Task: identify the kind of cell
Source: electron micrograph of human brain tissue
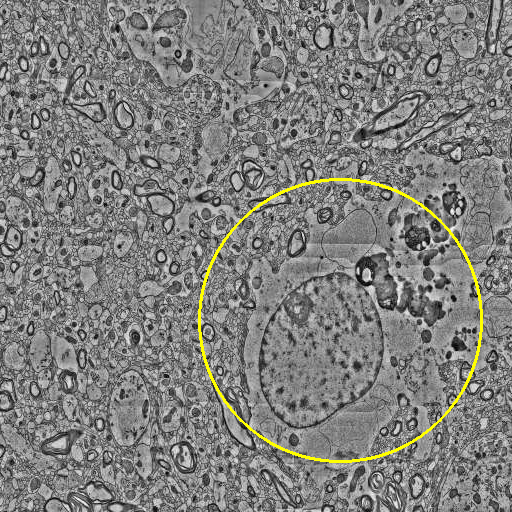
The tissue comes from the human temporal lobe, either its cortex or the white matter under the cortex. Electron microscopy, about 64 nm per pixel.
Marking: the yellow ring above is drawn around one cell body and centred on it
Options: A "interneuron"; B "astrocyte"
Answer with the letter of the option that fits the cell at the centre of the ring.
B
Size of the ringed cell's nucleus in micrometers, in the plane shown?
About 10 by 8 micrometers for the nucleus, in this plane.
